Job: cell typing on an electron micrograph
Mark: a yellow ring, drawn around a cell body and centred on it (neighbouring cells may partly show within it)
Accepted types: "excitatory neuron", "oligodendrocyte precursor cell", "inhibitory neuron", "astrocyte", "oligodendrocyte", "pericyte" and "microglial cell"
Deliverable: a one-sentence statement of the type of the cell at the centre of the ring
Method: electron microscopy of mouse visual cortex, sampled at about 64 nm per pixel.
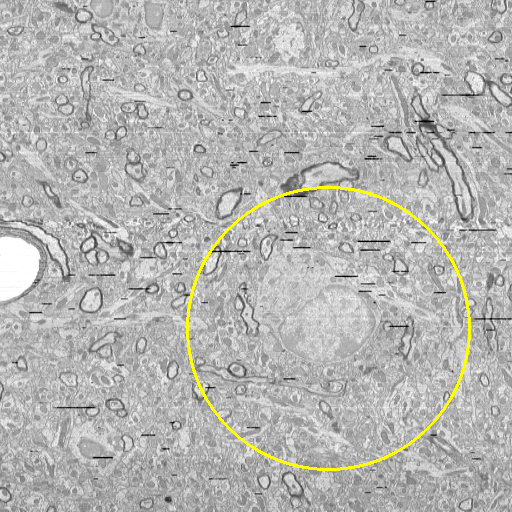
The centred cell body is that of an oligodendrocyte.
